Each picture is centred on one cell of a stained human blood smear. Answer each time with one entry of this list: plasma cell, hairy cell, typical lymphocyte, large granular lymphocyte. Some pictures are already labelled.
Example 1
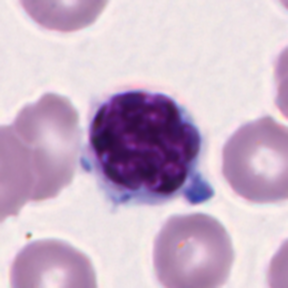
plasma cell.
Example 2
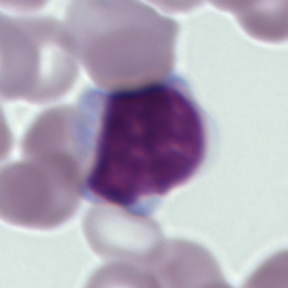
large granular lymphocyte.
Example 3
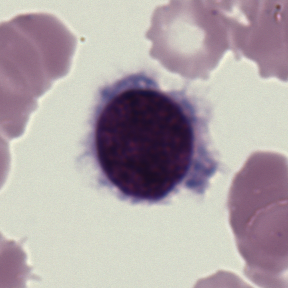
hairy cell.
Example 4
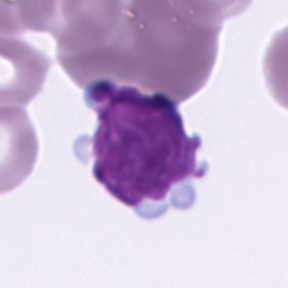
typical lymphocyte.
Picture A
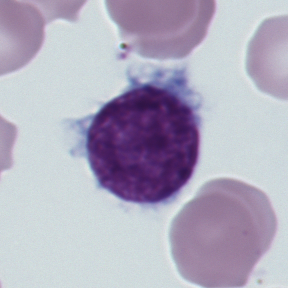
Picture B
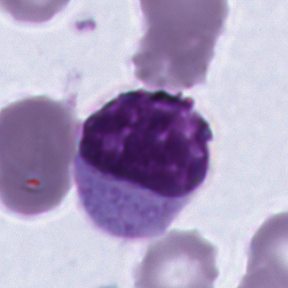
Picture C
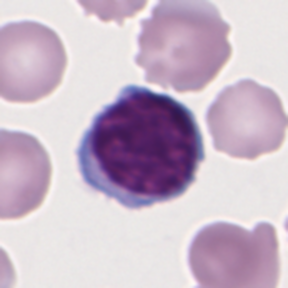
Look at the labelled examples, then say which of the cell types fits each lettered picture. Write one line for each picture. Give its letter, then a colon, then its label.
A: hairy cell.
B: plasma cell.
C: typical lymphocyte.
